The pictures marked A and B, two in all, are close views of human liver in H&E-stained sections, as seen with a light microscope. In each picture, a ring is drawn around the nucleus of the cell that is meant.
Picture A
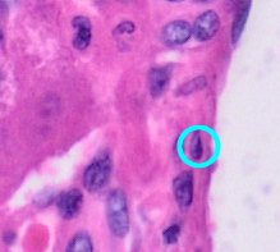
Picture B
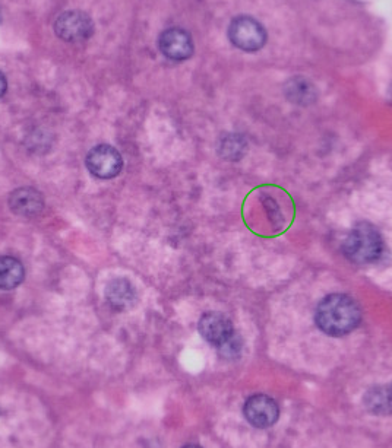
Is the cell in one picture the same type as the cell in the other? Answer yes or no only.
no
